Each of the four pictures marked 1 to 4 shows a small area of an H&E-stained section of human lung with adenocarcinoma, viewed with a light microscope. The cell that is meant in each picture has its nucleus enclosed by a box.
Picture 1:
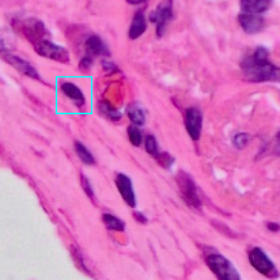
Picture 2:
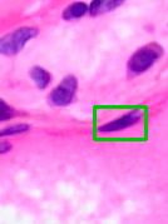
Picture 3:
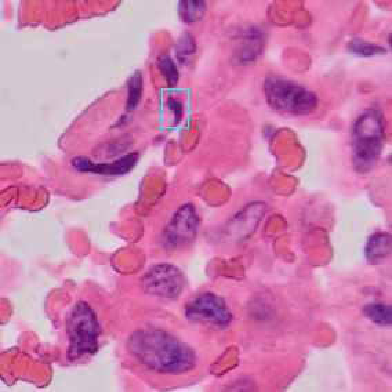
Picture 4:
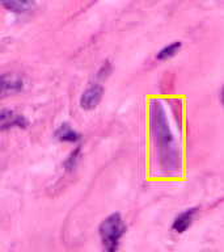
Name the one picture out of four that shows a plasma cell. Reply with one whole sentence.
Picture 1 is the one that shows the plasma cell.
